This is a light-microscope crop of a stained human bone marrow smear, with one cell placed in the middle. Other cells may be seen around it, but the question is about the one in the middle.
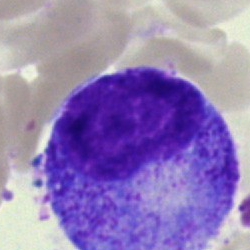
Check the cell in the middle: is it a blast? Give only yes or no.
no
